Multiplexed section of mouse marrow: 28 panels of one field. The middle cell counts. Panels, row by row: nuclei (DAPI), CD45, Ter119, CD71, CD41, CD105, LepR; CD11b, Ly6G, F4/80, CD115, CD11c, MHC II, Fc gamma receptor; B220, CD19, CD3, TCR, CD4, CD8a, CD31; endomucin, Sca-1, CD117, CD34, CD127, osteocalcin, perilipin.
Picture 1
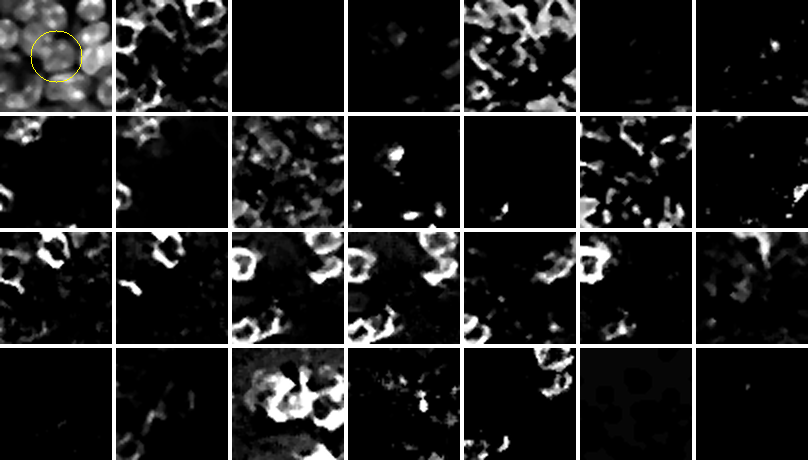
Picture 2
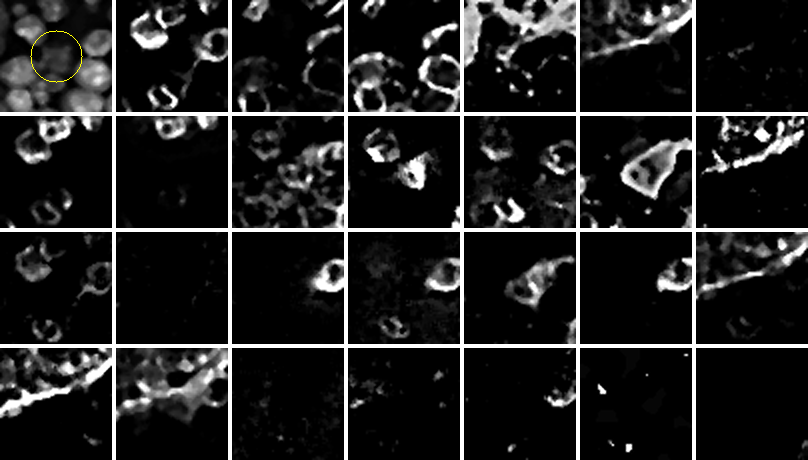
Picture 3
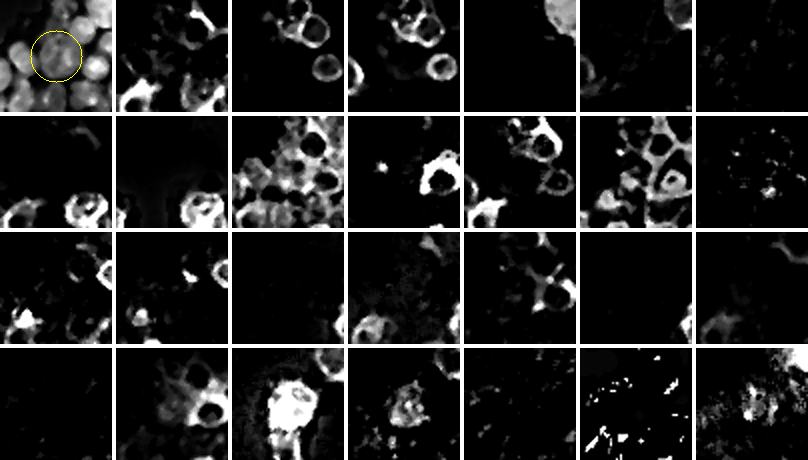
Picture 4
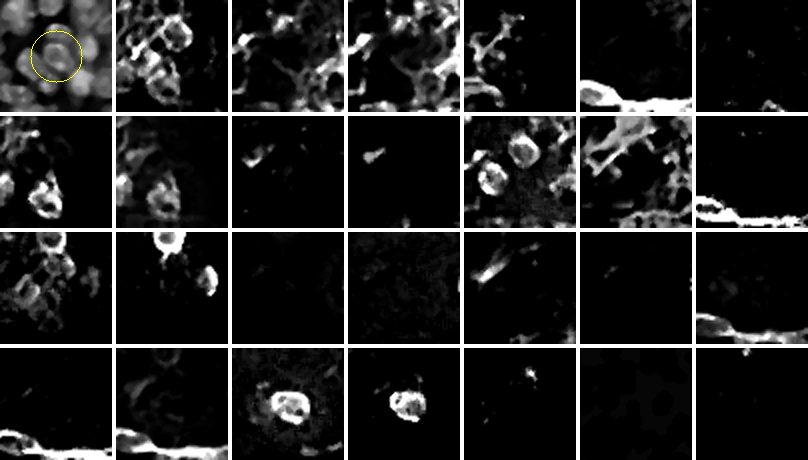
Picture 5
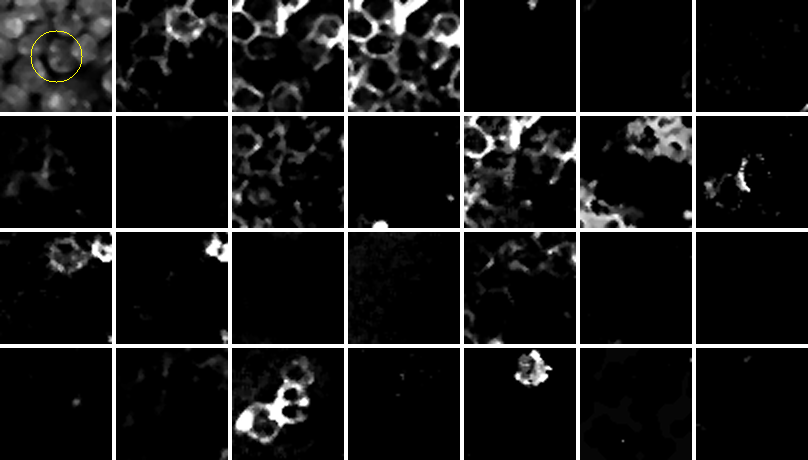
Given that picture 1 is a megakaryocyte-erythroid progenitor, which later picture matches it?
5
